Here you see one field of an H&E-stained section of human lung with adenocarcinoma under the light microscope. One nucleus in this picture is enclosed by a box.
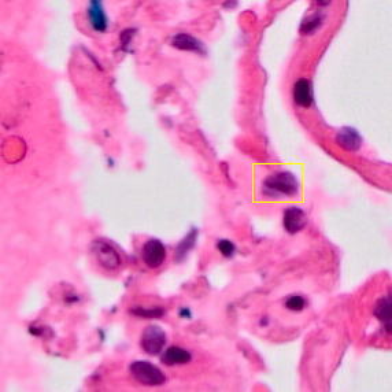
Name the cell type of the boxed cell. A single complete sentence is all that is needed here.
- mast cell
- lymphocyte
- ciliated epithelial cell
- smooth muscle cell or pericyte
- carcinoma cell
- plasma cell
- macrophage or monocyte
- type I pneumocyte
In cellular terms, the boxed cell is a type I pneumocyte.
